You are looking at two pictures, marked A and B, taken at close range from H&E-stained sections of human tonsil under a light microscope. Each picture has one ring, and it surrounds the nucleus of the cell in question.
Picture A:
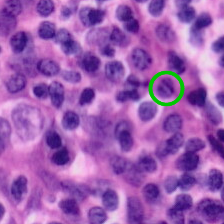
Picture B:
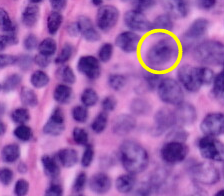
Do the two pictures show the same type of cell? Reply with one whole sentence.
No, they differ: the cell is a plasma cell in picture A and a proliferating B cell in picture B.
